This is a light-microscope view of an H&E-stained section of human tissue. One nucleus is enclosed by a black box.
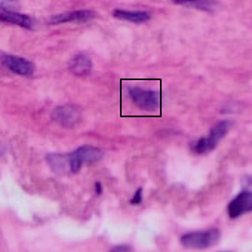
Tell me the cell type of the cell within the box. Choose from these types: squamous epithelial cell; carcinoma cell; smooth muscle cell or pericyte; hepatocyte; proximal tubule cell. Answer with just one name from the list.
smooth muscle cell or pericyte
